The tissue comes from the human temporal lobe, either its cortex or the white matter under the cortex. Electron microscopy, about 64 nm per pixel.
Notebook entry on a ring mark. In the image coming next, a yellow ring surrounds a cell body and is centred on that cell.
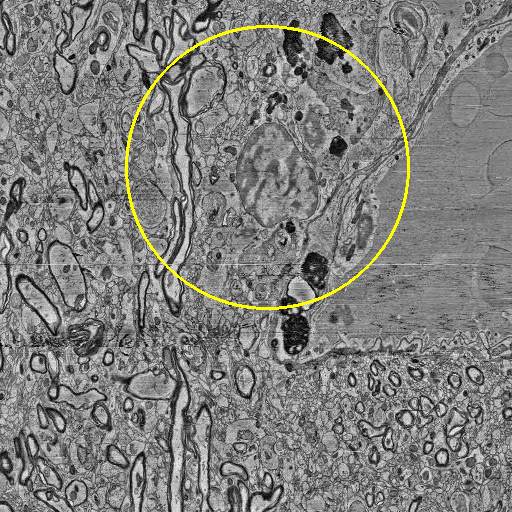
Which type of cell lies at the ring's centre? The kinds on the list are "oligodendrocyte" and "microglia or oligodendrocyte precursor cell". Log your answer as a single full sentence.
Centred in the yellow ring is a microglial cell or oligodendrocyte precursor cell, the cell recorded for this image.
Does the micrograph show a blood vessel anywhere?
Yes, the picture includes a blood vessel.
